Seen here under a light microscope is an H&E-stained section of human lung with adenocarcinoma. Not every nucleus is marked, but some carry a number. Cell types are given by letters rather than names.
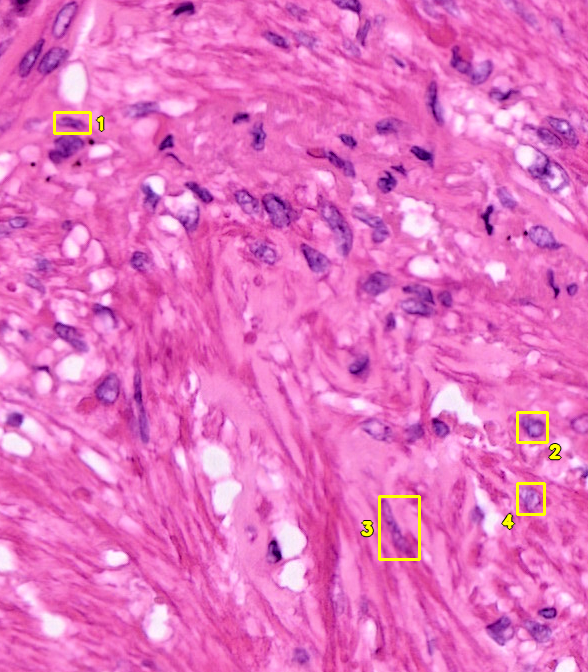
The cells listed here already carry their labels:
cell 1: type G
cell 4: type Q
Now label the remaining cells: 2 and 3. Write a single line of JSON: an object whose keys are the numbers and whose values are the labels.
{"2": "type Q", "3": "type Q"}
